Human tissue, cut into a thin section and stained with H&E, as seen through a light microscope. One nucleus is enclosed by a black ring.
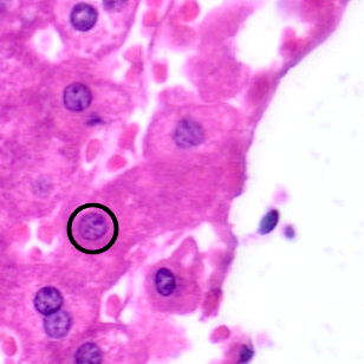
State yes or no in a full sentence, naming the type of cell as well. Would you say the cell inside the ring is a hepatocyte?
Yes, the cell inside the ring counts as a hepatocyte in this tissue.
